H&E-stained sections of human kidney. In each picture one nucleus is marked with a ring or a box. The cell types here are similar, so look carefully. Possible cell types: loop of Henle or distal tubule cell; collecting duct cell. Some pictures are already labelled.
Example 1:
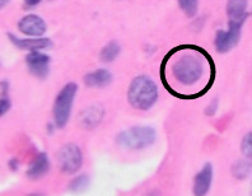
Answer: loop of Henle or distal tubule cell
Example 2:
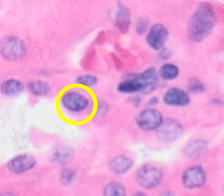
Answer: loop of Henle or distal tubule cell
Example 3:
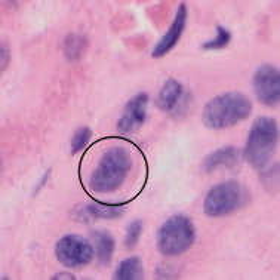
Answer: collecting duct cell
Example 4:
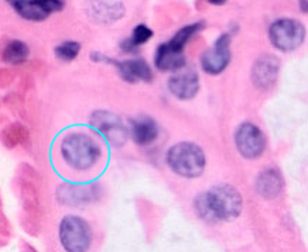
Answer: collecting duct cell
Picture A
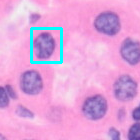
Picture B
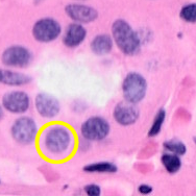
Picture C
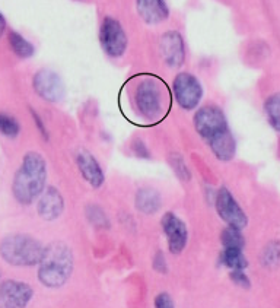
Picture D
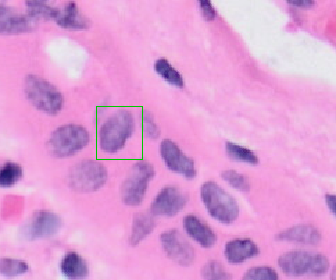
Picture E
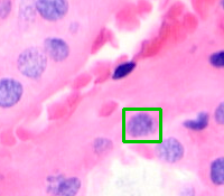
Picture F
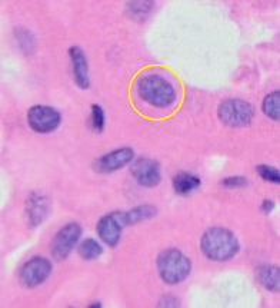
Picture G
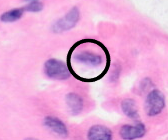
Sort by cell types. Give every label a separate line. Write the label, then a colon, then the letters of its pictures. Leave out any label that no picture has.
loop of Henle or distal tubule cell: A, C, E, F, G
collecting duct cell: B, D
